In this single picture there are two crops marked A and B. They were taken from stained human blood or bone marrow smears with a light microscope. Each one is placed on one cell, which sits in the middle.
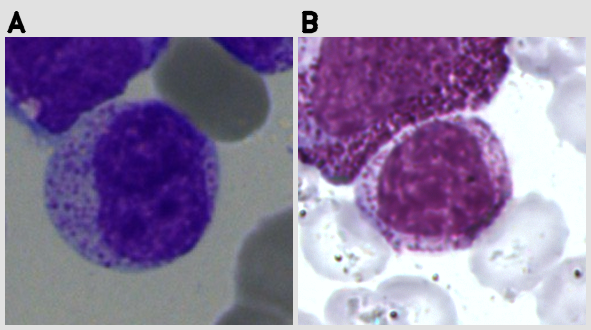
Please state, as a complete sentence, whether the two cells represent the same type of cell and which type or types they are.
Yes, both crops alike show myelocytes at the centre.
